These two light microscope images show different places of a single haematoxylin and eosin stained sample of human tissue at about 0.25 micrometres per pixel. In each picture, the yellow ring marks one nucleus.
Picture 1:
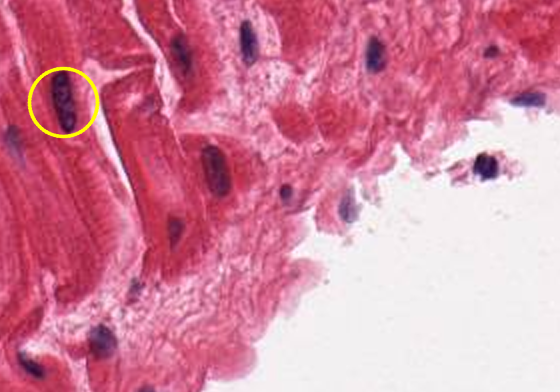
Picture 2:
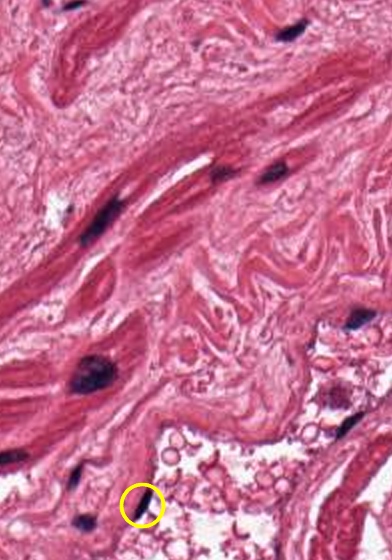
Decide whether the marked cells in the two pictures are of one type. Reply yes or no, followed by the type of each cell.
No, the first is a cardiomyocyte and the second an endothelial cell.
